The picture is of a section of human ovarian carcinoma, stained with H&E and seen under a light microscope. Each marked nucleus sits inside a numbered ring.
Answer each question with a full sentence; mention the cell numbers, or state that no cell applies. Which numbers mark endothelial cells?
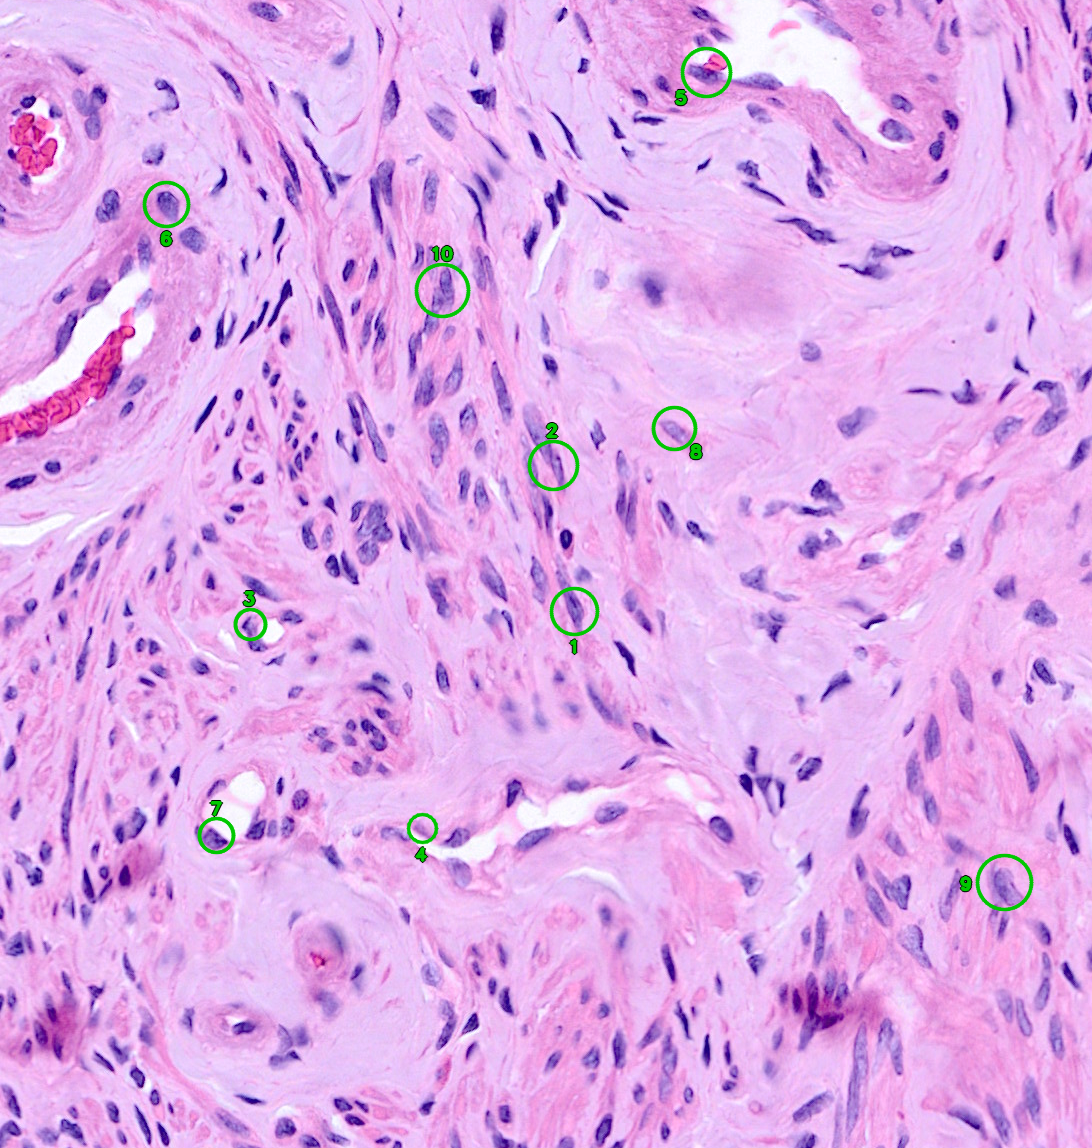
The cells numbered 3, 4, 5 and 7 are of one kind: endothelial cells.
